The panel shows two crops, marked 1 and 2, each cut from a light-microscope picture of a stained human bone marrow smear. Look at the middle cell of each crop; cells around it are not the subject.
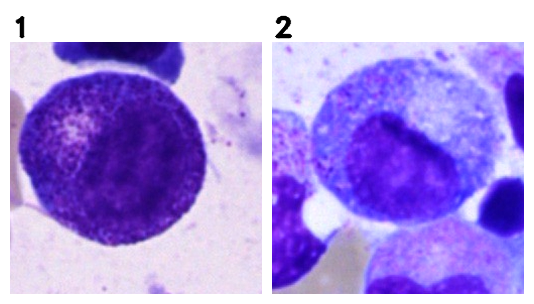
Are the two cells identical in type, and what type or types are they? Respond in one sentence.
Yes, the first and the second crop both show promyelocytes.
